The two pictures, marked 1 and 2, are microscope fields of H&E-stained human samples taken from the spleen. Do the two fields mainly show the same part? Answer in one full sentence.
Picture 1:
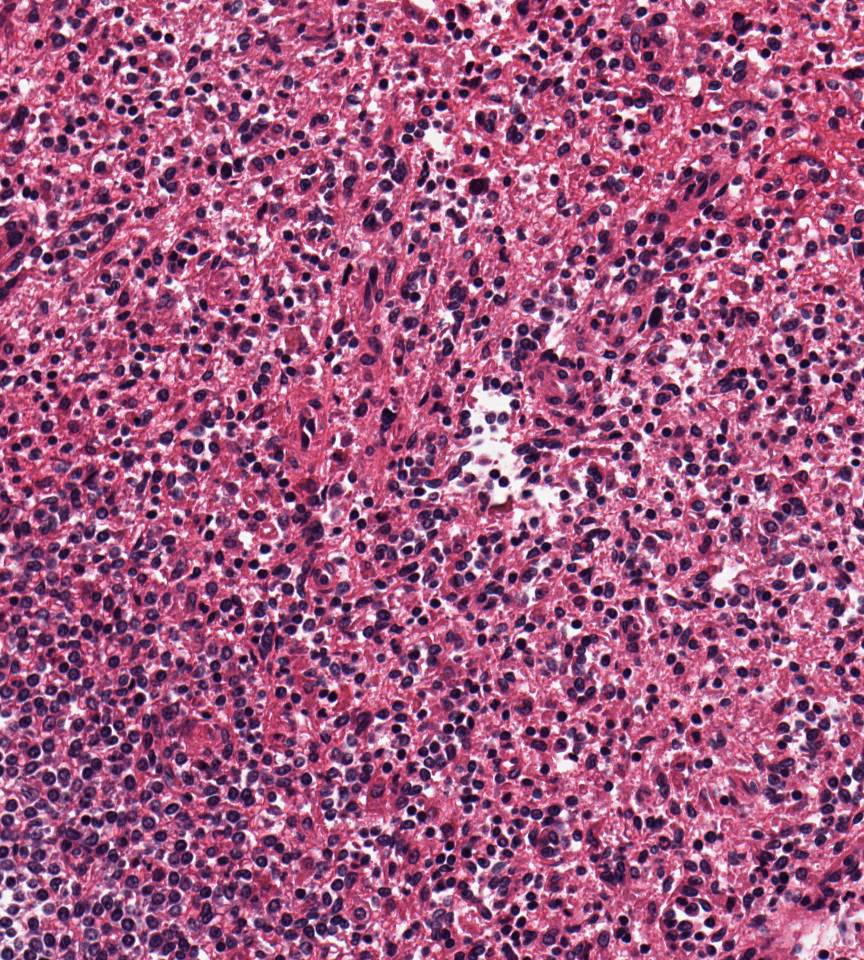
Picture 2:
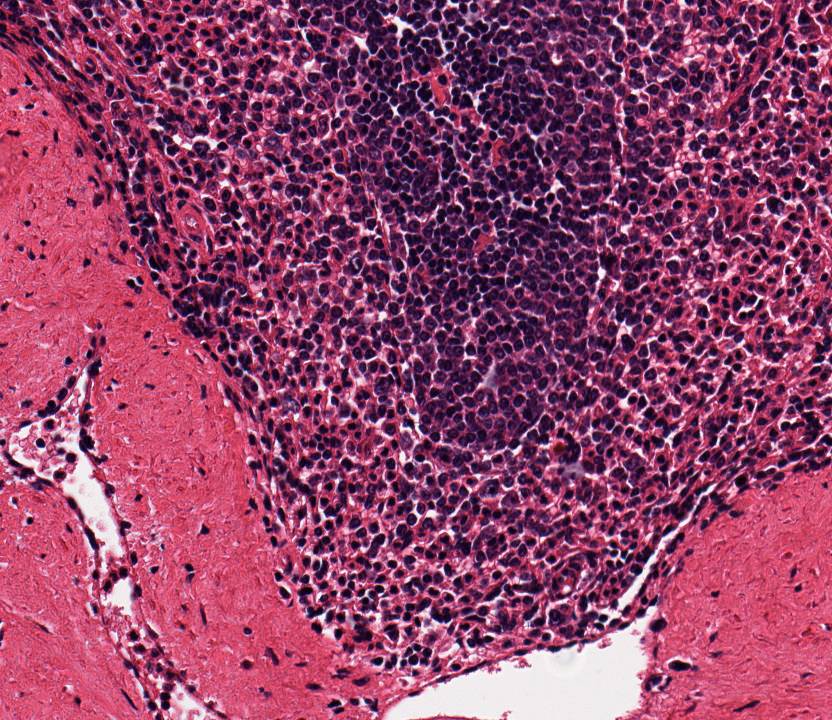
No: picture 1 mainly shows the red pulp, but picture 2 mainly shows the white pulp.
